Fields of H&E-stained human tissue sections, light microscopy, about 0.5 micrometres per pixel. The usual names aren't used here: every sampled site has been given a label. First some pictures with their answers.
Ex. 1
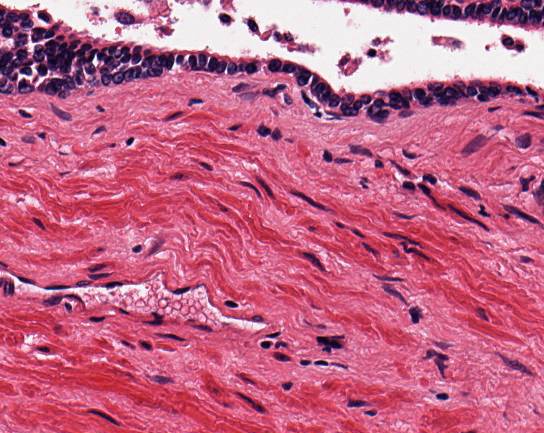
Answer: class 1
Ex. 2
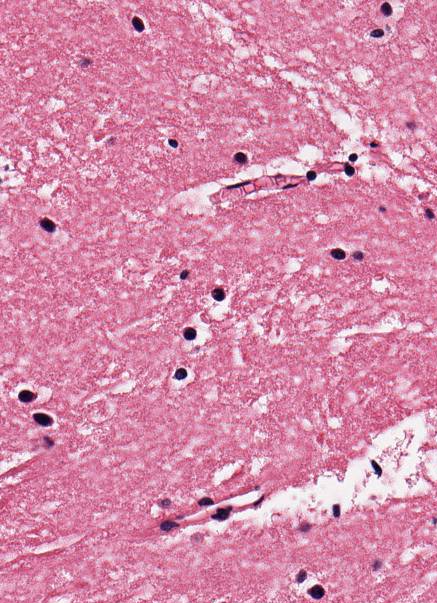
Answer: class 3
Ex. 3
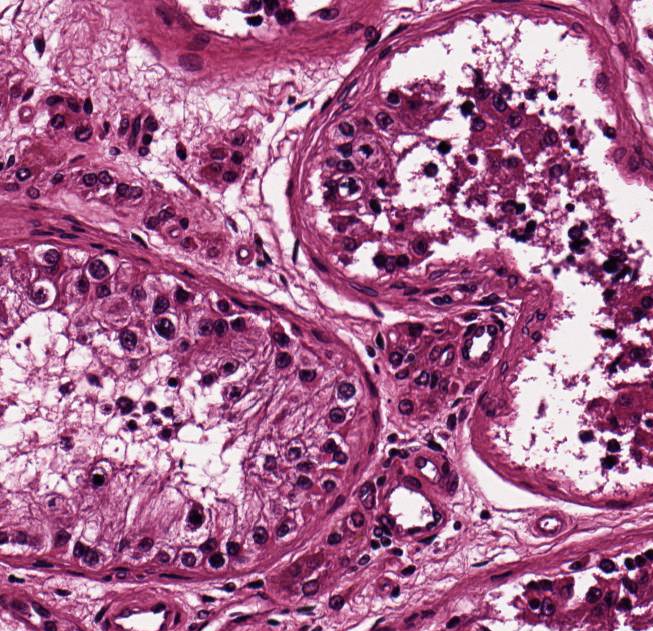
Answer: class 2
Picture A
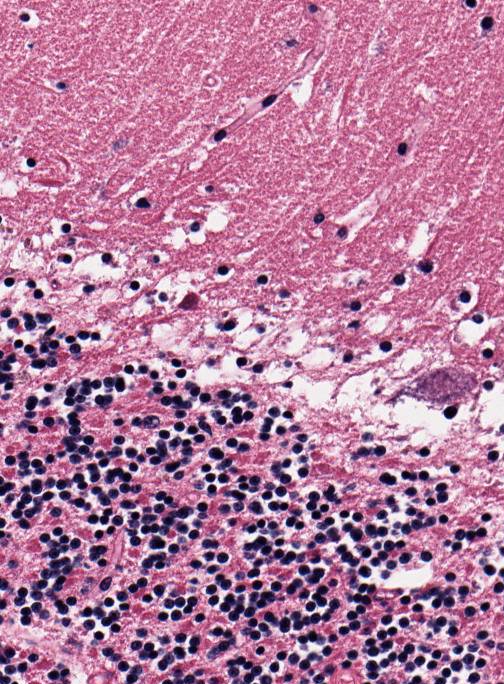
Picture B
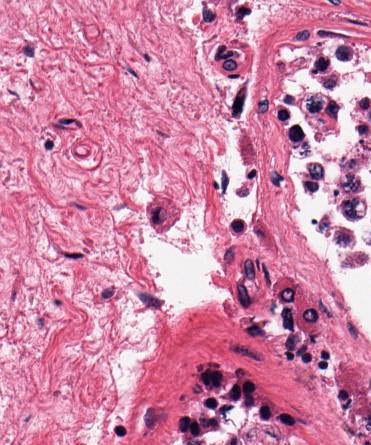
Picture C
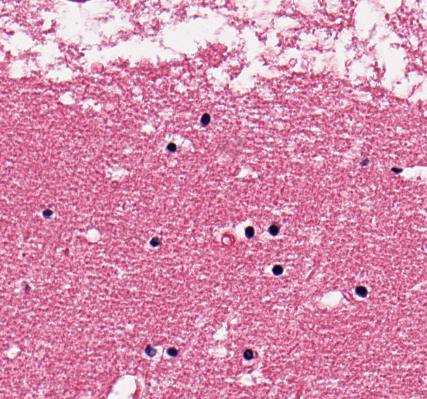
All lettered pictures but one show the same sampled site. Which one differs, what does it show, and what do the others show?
Different: B, class 2. Others: class 3.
